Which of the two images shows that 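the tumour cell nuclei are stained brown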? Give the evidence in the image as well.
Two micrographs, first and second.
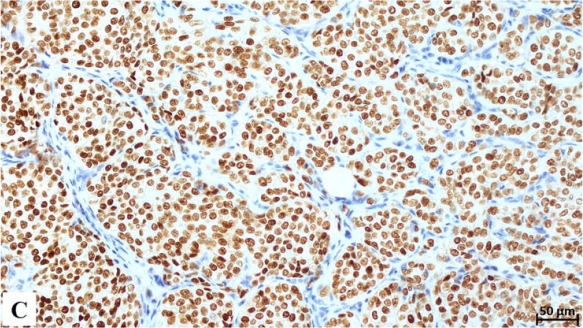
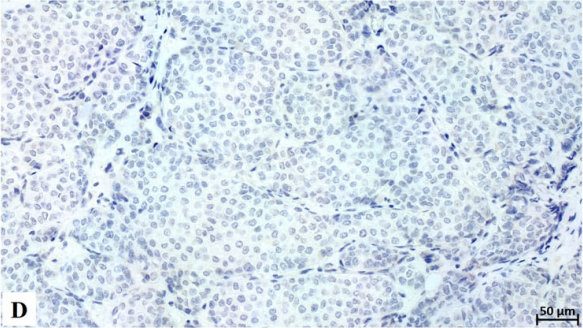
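The first image. Second image: all tumour cell nuclei are pale blue, with no brown. First image: nearly all tumour cell nuclei in the nests are dark brown.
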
